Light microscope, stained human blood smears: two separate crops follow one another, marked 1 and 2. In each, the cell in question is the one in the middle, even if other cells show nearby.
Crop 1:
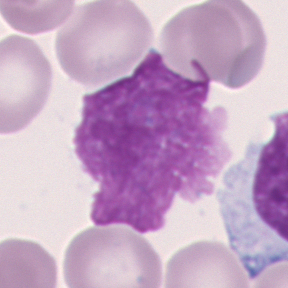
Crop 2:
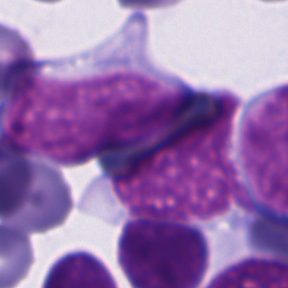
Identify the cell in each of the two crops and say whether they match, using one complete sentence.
No, the middle of crop 1 holds a smudge cell, and the middle of crop 2 holds a myeloblast.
